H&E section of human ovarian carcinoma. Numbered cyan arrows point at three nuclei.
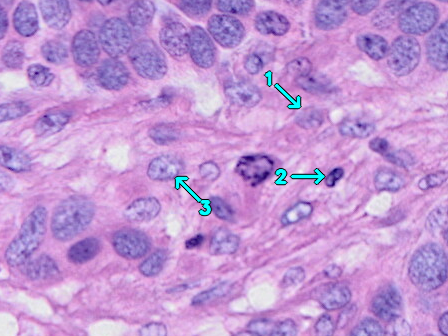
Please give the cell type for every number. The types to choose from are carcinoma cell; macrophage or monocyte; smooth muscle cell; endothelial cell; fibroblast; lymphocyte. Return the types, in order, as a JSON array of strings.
["fibroblast", "lymphocyte", "fibroblast"]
